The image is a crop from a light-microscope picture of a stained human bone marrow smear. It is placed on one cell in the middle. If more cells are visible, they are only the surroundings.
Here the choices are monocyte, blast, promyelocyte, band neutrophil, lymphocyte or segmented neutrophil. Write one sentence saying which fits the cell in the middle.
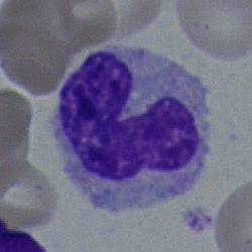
The crop shows a monocyte in its centre.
